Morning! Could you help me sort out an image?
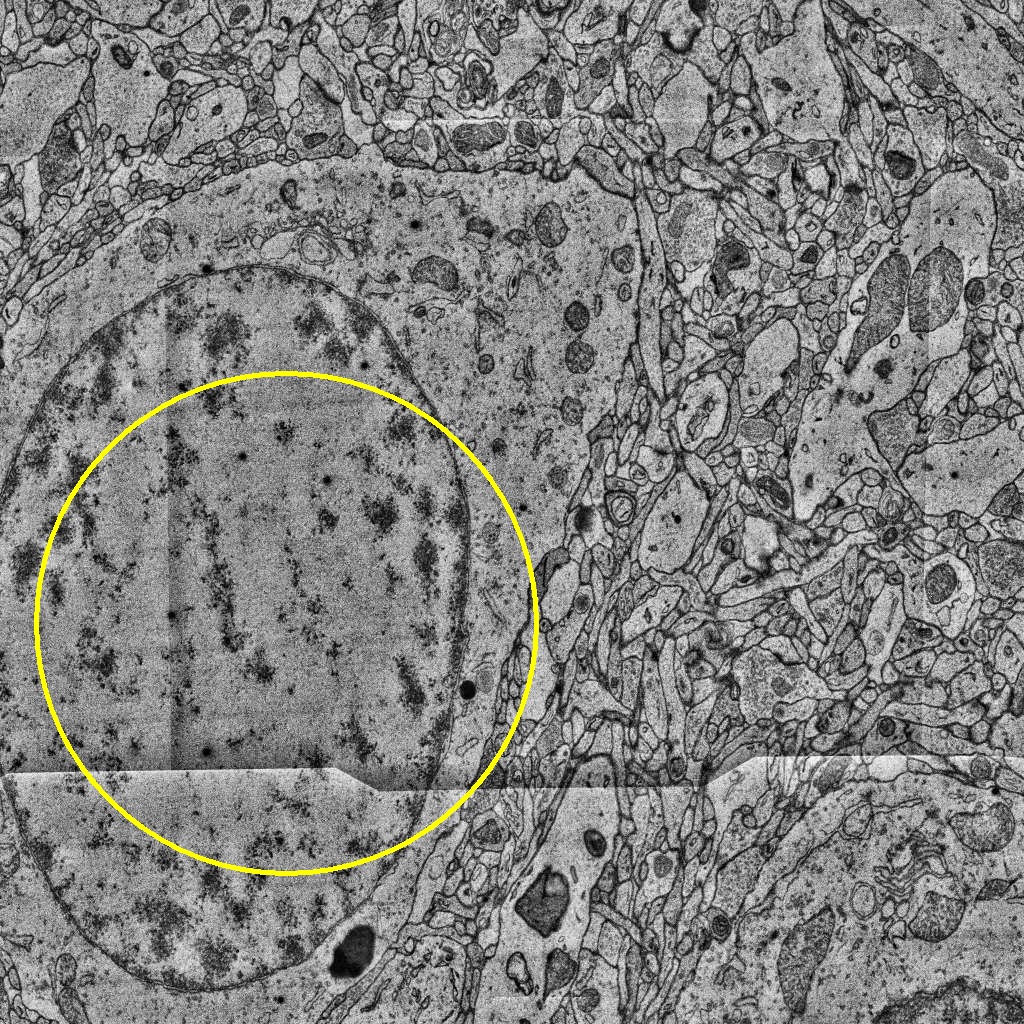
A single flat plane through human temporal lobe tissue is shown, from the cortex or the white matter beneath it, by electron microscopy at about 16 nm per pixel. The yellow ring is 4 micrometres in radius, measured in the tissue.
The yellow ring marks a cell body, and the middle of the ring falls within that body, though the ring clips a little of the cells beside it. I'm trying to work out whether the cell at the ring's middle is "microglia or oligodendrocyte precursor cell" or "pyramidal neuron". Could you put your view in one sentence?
The cell body at the ring's middle is that of a pyramidal neuron.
